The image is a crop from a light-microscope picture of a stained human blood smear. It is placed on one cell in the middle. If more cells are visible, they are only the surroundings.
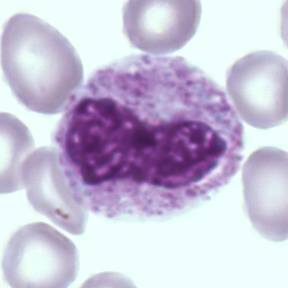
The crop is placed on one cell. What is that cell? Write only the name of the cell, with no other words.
metamyelocyte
